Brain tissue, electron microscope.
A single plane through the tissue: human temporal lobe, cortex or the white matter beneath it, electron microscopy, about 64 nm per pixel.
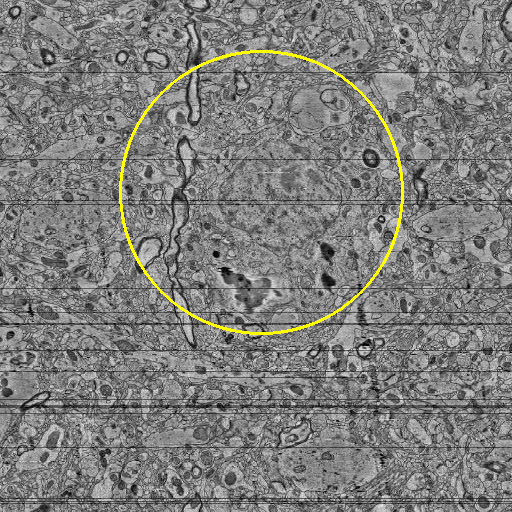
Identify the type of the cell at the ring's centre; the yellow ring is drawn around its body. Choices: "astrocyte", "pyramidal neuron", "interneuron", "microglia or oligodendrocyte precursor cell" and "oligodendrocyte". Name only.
interneuron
